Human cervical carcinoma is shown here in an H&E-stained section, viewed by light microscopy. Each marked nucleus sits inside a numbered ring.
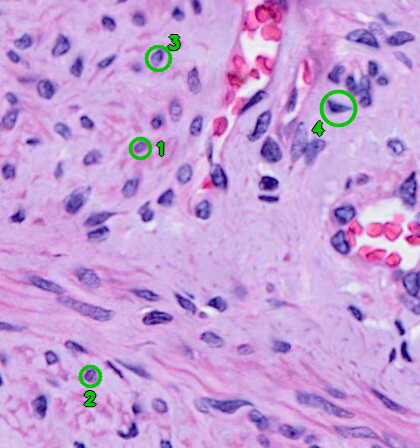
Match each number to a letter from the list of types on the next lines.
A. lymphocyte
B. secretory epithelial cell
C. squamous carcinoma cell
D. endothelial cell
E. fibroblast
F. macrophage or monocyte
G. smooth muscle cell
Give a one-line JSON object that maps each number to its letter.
{"1": "G", "2": "G", "3": "G", "4": "E"}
